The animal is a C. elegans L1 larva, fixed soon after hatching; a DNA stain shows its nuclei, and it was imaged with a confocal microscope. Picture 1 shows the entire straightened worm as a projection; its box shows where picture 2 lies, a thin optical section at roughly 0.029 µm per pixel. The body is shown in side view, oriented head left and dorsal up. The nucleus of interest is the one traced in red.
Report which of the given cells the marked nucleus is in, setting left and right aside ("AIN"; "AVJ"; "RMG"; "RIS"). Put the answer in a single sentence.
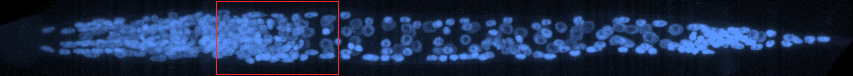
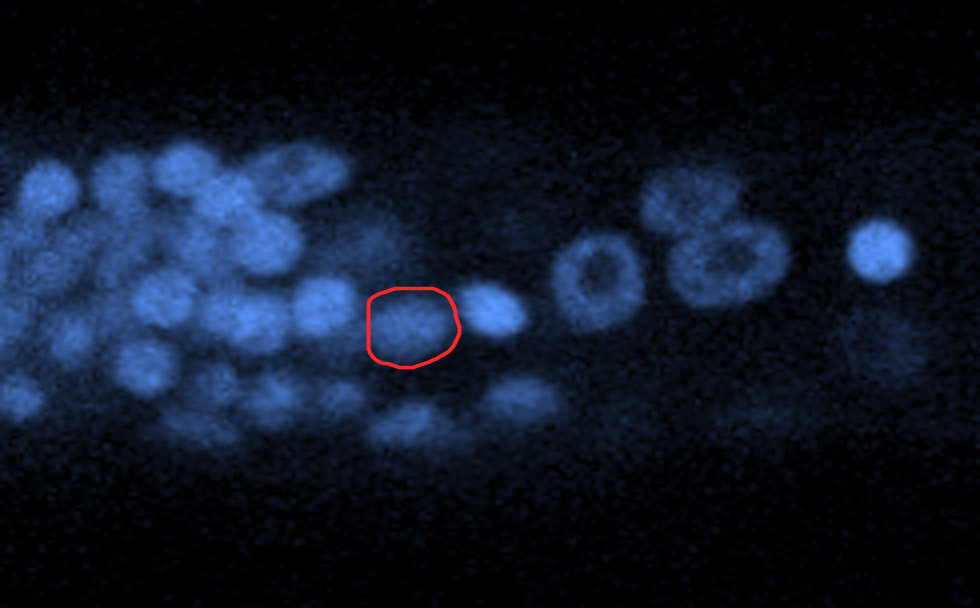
This is the nucleus of RMG, a neuron.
